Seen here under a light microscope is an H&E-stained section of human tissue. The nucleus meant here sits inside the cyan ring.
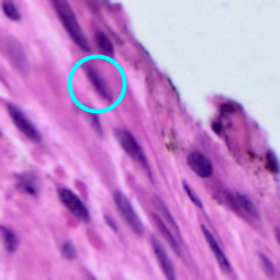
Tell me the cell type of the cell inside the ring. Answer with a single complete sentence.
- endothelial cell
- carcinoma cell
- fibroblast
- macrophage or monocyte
In the stained section, the cell inside the ring is a fibroblast.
